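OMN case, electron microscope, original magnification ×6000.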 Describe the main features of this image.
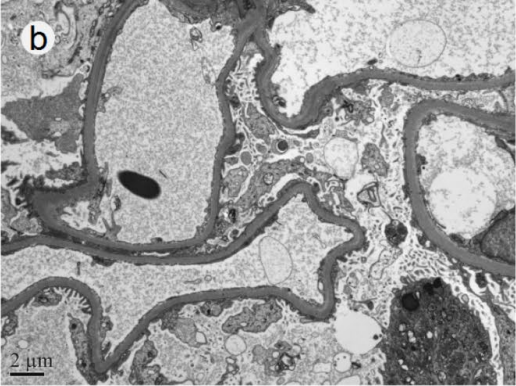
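This electron micrograph shows glomerular capillary loops covered by podocytes, with foot process effacement. Thick, evenly dark basement membranes outline several wide capillary lumina, one containing a dark red blood cell profile. On the outer side of the membranes, the podocyte foot processes are flattened over long segments into a continuous layer, while a few separate processes persist in places.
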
